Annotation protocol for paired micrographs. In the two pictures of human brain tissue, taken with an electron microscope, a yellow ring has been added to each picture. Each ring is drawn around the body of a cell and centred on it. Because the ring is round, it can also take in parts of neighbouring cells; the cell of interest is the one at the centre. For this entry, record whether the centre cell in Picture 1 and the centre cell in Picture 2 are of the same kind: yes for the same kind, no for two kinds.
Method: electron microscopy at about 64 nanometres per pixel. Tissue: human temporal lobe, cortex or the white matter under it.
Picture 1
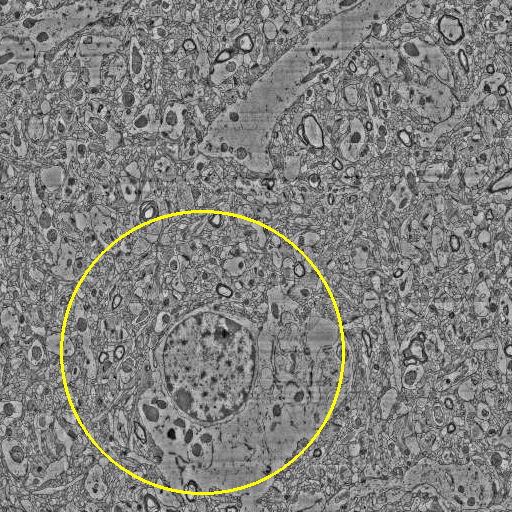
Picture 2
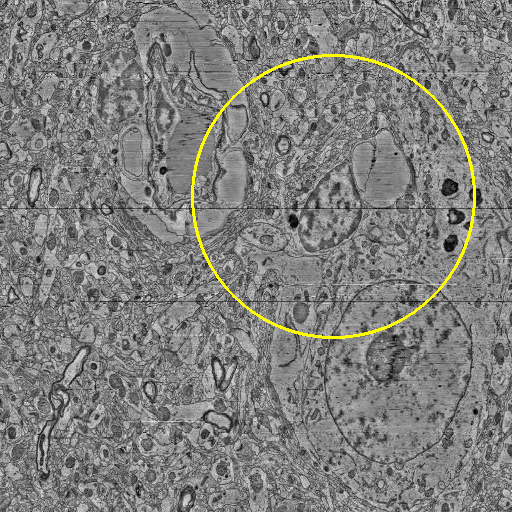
yes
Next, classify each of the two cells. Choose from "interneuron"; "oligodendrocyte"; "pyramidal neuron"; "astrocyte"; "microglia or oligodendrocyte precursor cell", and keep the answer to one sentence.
Each one of the two ringed cells is a microglial cell or oligodendrocyte precursor cell.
